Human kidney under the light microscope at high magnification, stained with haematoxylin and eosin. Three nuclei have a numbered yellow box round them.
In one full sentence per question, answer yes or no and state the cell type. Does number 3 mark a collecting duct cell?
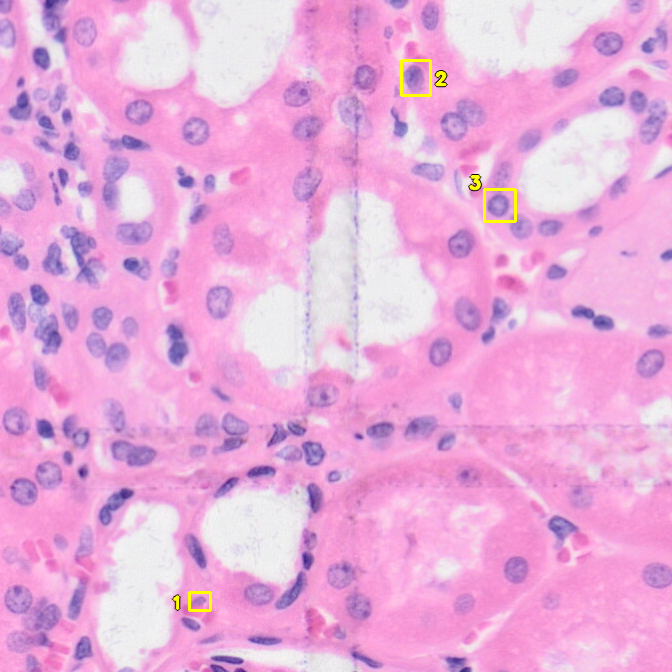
Yes, the cell identified as number 3 is a collecting duct cell.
